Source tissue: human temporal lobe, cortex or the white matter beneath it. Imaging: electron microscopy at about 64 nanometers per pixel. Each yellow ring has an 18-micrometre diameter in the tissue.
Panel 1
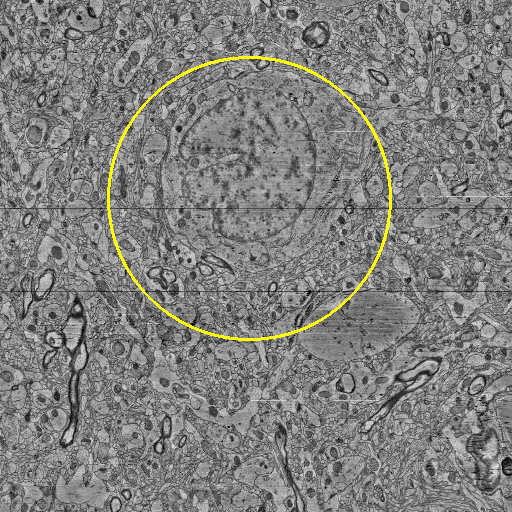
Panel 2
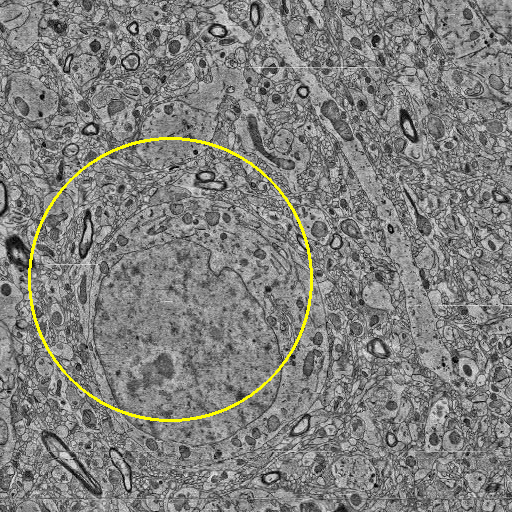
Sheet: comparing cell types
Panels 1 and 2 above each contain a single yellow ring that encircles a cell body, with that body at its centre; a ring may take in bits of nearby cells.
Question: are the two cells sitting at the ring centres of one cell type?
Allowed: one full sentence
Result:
Yes, the ring-centre cells in Panel 1 and Panel 2 are of one type.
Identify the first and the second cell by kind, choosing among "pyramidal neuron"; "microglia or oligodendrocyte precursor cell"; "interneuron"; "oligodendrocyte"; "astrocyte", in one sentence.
Each of the ringed cells, first and second, is an interneuron.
